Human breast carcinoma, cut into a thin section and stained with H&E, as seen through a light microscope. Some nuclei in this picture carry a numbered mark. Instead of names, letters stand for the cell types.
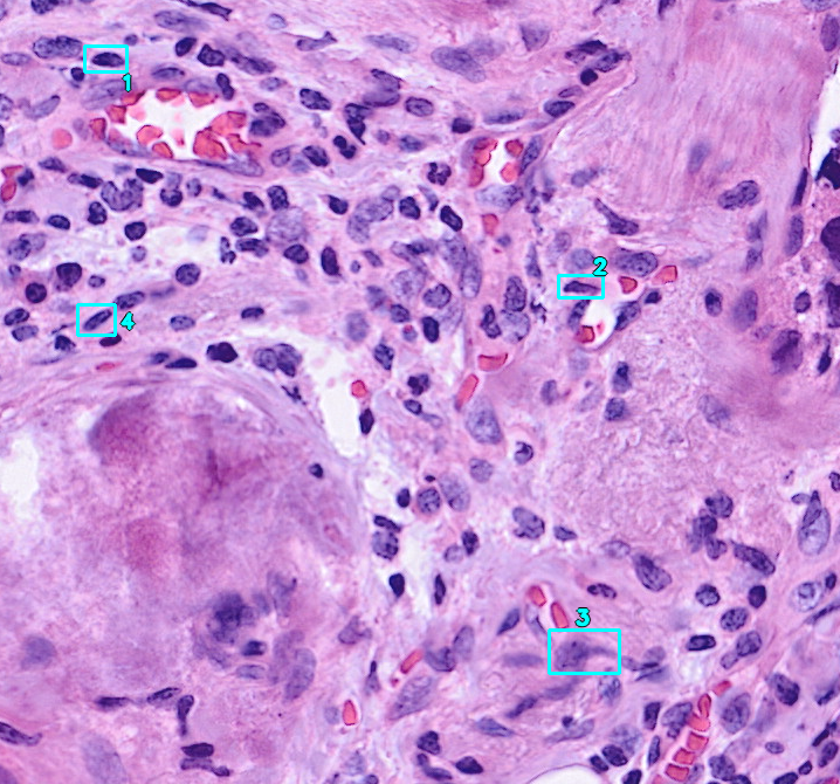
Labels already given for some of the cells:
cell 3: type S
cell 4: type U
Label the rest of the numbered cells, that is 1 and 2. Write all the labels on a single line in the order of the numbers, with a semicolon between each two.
type U; type S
